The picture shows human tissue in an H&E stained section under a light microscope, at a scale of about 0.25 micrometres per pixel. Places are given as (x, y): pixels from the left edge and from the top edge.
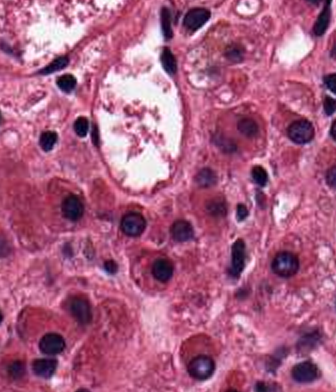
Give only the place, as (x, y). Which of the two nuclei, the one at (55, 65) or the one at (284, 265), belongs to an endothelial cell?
(55, 65)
